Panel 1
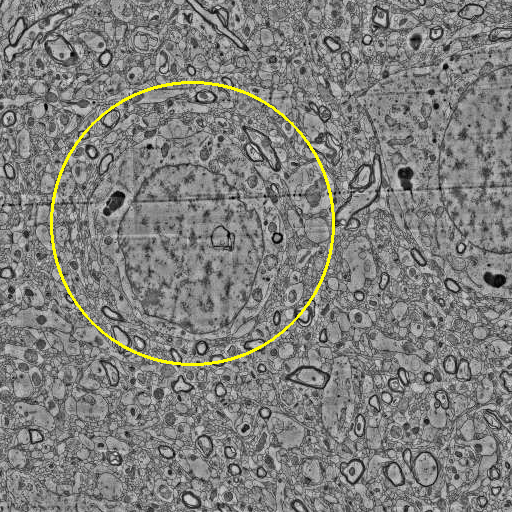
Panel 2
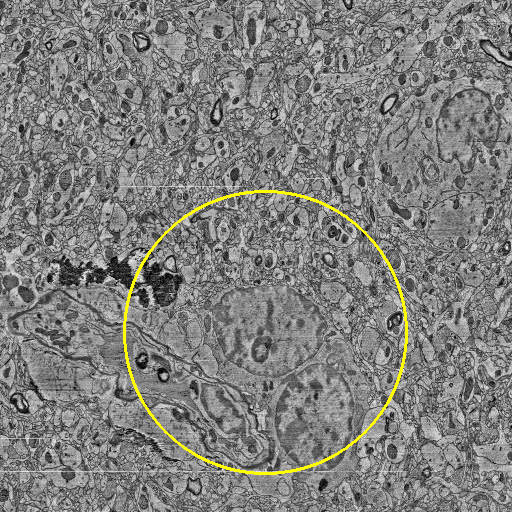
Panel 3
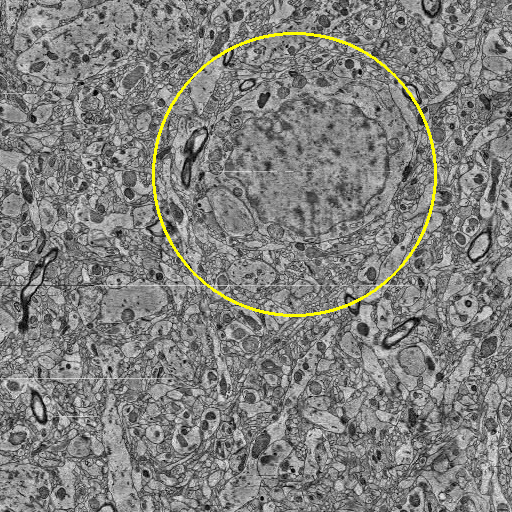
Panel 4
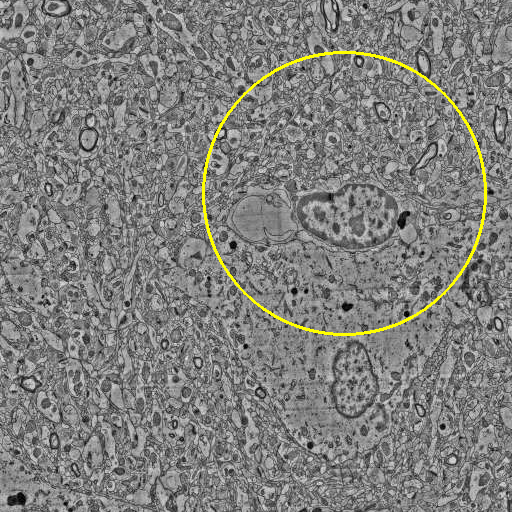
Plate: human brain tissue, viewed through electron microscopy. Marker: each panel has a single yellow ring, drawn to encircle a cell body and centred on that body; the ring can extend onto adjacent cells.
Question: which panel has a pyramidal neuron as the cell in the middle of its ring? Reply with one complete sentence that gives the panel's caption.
Panel 1 is where the requested cell sits at the centre of the ring.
